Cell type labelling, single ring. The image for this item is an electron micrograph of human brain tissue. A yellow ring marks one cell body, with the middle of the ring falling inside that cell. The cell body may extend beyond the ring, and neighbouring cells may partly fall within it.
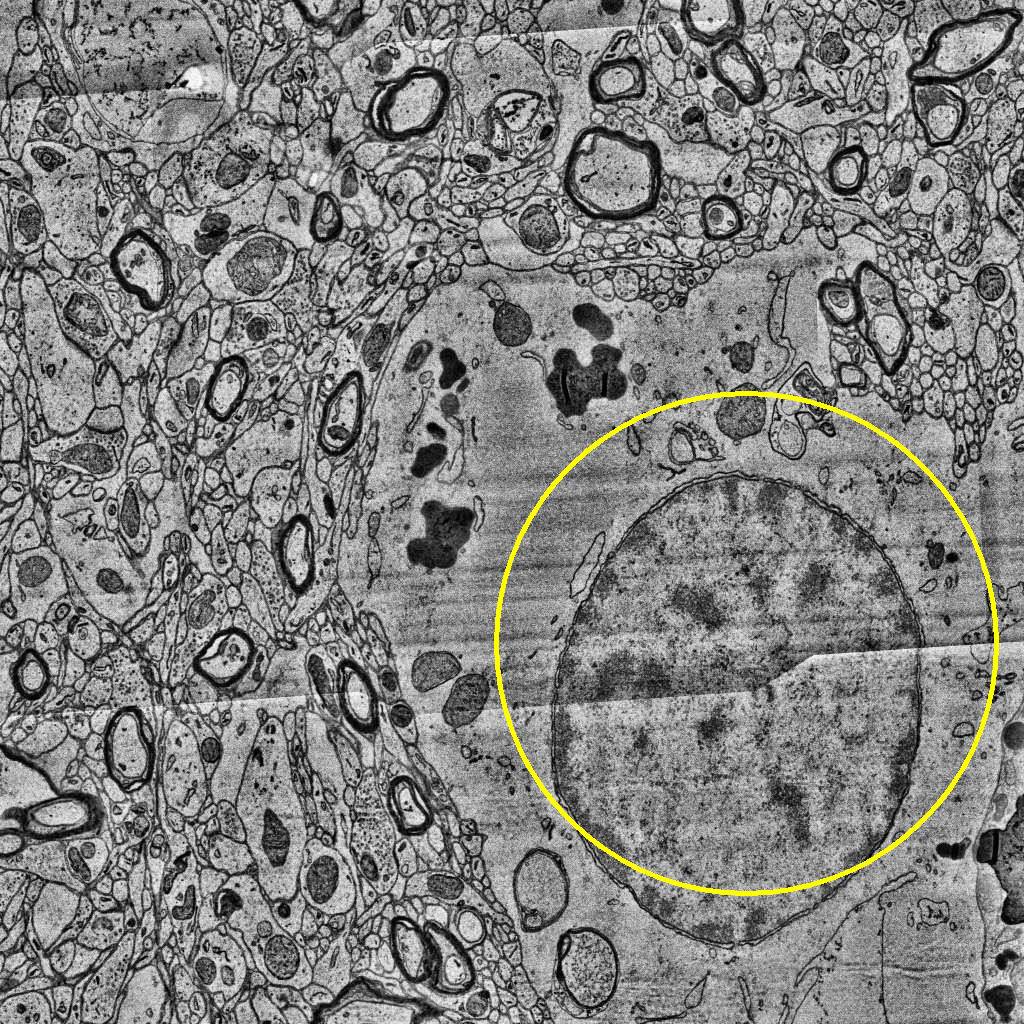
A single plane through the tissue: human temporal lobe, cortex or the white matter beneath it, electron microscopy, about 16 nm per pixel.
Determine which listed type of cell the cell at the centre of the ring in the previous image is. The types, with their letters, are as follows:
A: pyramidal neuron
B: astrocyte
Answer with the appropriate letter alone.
B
